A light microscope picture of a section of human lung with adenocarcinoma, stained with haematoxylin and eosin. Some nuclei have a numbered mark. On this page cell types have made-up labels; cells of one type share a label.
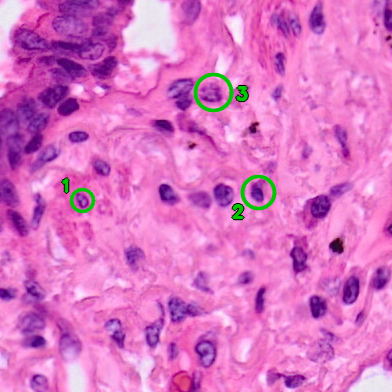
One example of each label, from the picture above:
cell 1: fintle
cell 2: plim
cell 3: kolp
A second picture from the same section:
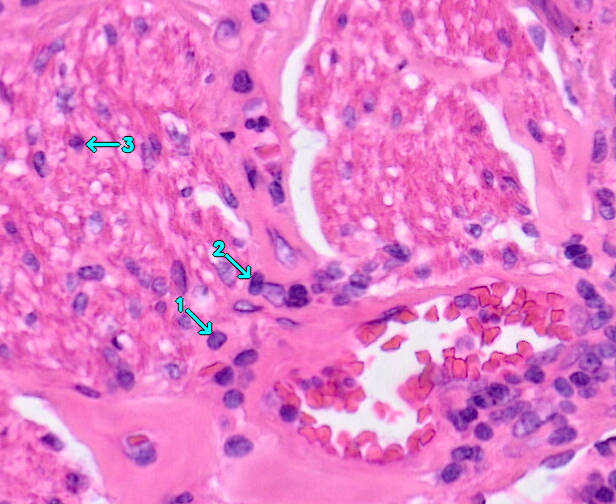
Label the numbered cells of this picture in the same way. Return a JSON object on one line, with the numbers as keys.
{"1": "kolp", "2": "plim", "3": "fintle"}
